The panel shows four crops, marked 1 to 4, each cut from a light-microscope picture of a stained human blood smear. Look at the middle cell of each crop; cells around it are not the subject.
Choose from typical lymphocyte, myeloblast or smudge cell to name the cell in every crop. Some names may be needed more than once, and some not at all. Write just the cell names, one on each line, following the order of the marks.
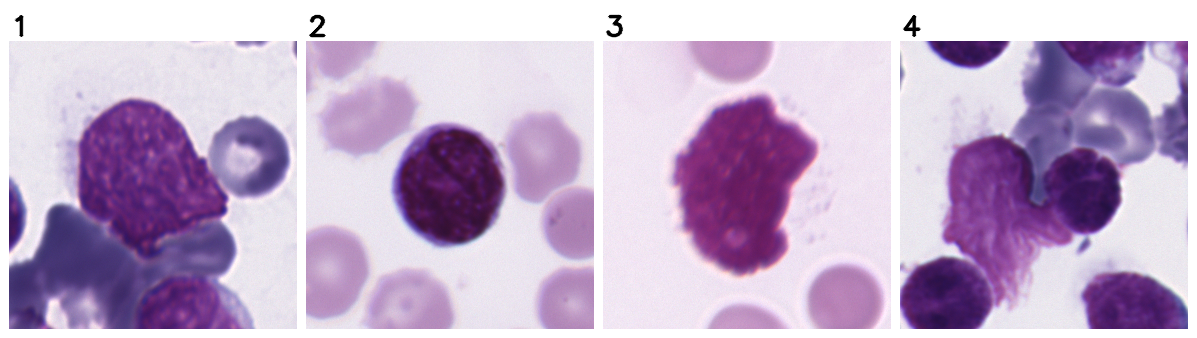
smudge cell
typical lymphocyte
smudge cell
smudge cell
